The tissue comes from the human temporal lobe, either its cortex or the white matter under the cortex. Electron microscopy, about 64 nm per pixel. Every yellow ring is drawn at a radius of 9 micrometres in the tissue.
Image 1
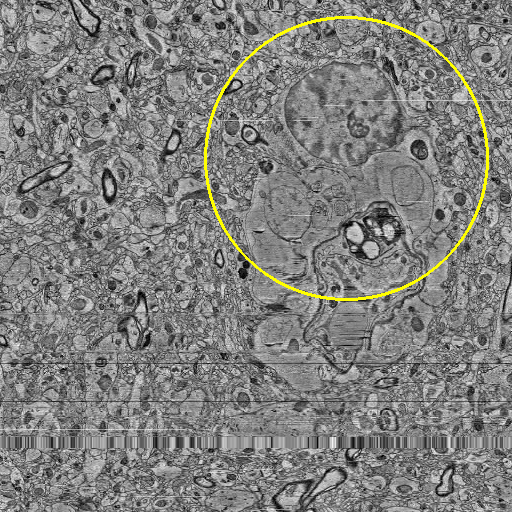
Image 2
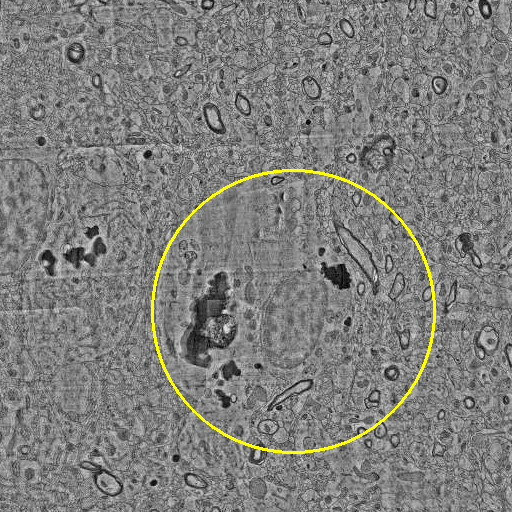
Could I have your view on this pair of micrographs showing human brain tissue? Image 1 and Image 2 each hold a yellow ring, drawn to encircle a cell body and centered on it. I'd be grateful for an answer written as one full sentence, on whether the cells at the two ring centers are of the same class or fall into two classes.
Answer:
The cells at the centers of the two rings are of the same class.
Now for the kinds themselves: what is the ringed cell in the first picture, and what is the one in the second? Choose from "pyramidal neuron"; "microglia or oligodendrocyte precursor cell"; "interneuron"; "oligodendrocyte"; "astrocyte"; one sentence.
In each of the two pictures, the ringed cell is an oligodendrocyte.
